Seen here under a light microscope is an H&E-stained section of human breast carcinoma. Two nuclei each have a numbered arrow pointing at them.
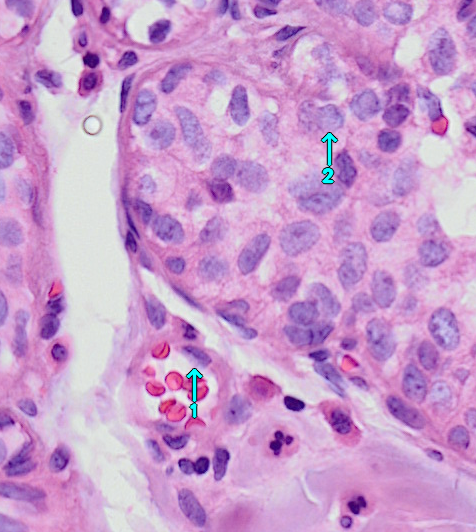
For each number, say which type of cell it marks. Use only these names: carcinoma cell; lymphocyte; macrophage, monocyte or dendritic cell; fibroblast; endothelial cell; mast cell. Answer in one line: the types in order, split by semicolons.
endothelial cell; carcinoma cell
